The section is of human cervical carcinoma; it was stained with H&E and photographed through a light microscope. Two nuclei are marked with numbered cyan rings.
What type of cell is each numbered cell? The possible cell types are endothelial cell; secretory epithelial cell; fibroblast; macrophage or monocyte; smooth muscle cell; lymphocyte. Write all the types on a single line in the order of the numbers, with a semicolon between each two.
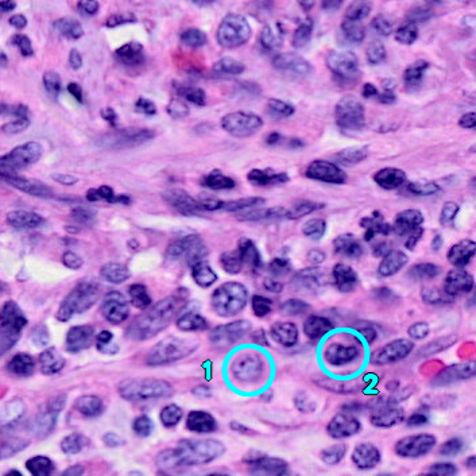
endothelial cell; lymphocyte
